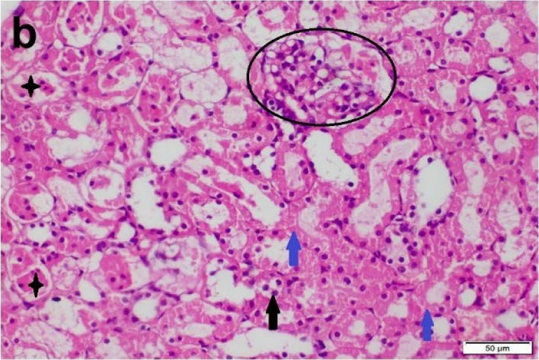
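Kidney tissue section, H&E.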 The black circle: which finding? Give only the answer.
glomerular degeneration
